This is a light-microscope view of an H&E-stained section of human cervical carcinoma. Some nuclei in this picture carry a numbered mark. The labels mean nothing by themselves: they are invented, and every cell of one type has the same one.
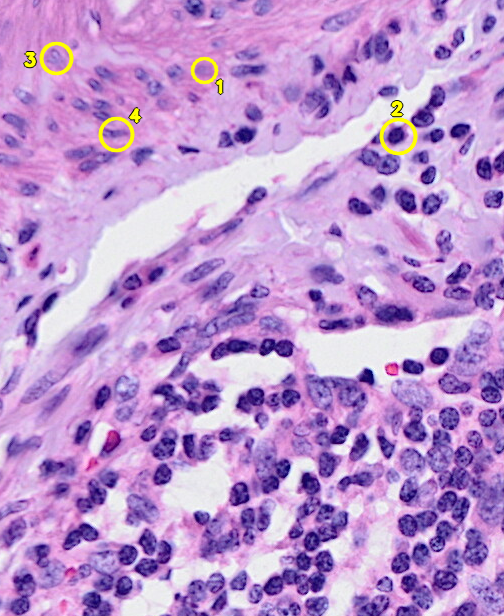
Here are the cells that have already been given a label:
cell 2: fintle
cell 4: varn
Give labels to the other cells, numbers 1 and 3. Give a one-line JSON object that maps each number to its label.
{"1": "varn", "3": "varn"}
